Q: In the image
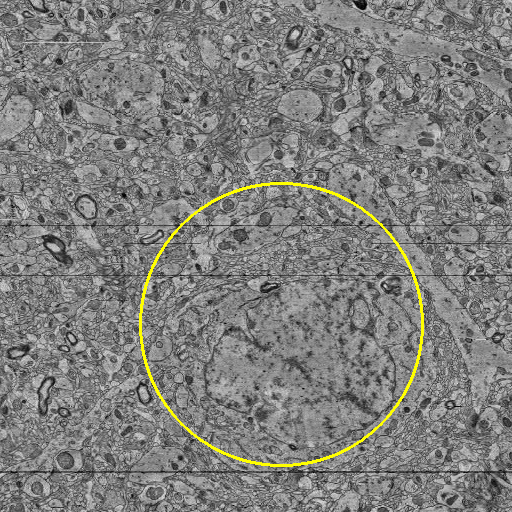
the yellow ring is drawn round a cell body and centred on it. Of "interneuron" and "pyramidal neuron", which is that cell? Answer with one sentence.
The cell centred in the ring is an interneuron.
